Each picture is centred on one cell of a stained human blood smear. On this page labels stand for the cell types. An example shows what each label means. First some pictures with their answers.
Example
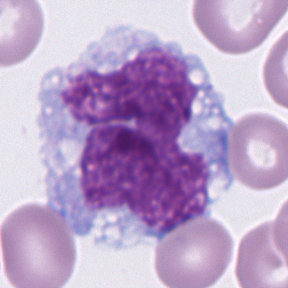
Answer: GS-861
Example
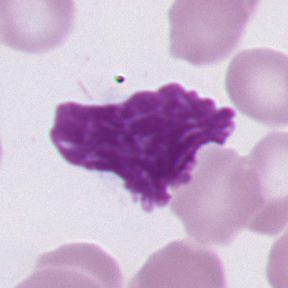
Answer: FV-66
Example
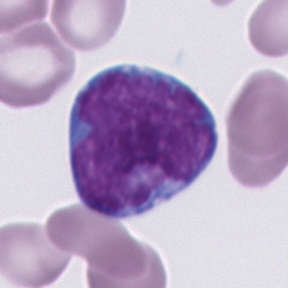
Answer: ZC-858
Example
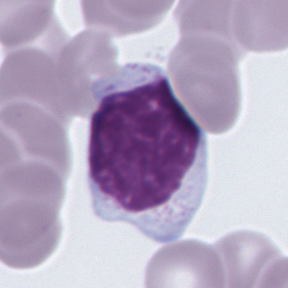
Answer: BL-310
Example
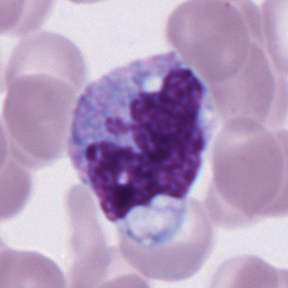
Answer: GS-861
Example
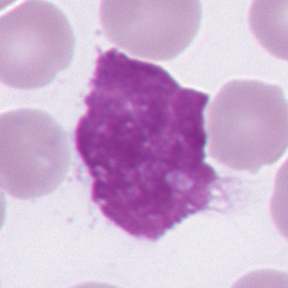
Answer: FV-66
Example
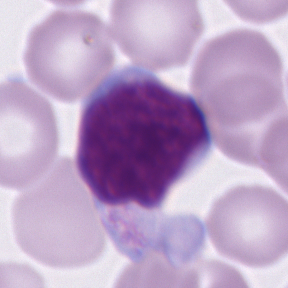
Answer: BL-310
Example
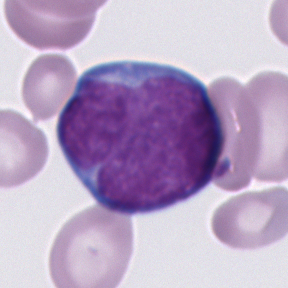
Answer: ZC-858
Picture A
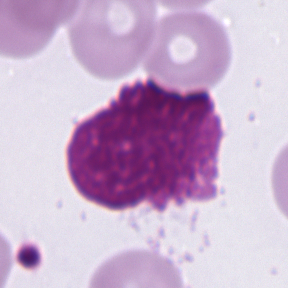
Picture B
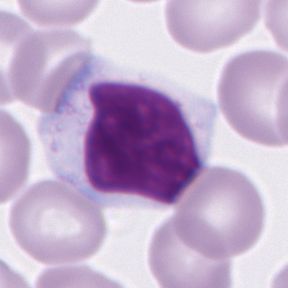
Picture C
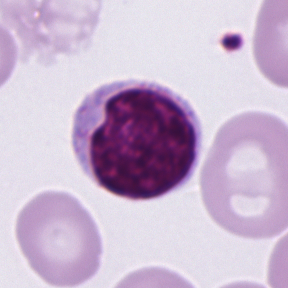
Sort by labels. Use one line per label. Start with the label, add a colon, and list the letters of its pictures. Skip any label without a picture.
FV-66: A
BL-310: B, C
